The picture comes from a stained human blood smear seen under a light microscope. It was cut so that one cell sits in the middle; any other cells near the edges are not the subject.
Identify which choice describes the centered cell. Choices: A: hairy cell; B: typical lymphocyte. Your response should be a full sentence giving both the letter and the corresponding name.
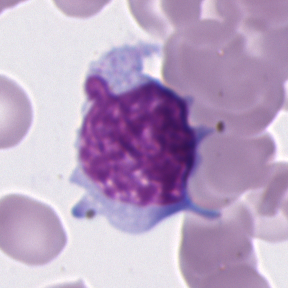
The correct identification, given in option B, is that the central cell is a typical lymphocyte.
